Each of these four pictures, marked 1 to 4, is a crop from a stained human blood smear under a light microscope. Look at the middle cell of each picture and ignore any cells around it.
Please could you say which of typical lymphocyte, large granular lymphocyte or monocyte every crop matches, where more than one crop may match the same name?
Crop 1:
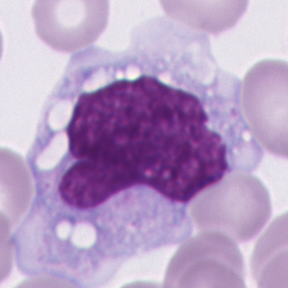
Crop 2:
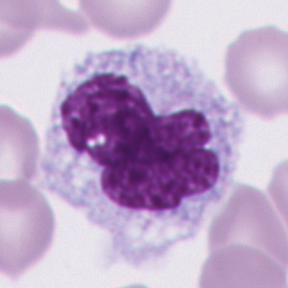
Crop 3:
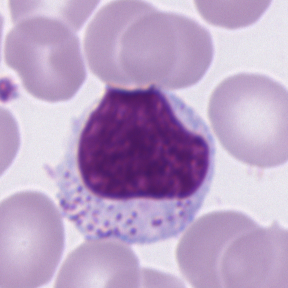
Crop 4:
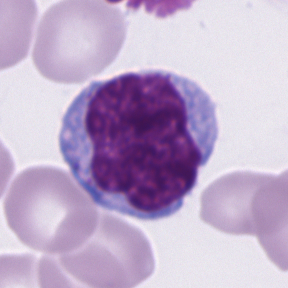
1: monocyte
2: monocyte
3: large granular lymphocyte
4: typical lymphocyte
